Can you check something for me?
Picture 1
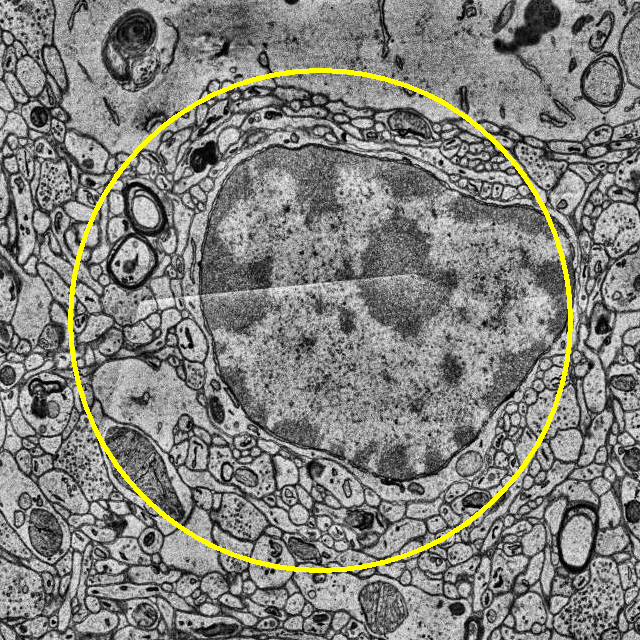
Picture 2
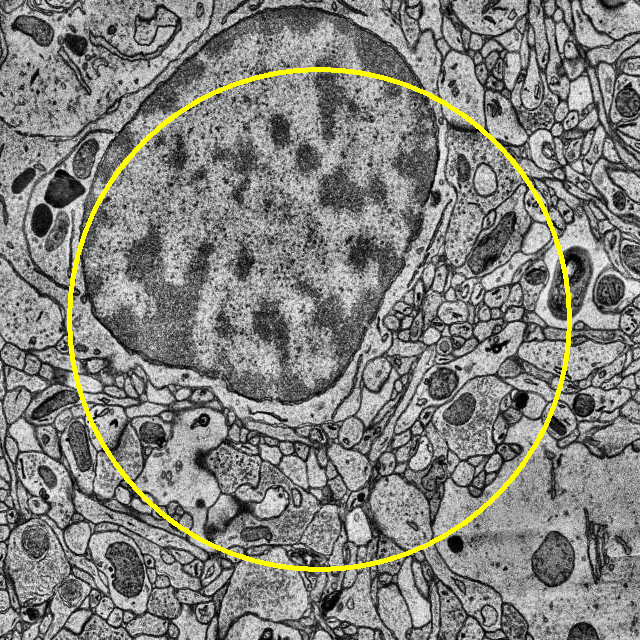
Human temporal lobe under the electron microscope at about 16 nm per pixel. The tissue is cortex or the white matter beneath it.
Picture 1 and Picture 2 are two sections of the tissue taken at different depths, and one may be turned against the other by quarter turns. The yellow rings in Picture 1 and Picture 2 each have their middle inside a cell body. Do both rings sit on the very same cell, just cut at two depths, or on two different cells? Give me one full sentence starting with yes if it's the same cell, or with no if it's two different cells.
No, the rings identify two cells, not one shared cell.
